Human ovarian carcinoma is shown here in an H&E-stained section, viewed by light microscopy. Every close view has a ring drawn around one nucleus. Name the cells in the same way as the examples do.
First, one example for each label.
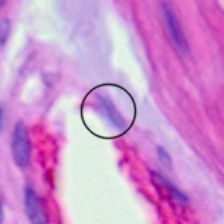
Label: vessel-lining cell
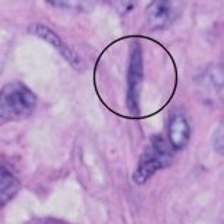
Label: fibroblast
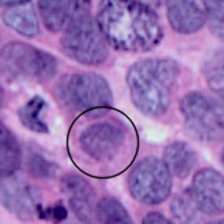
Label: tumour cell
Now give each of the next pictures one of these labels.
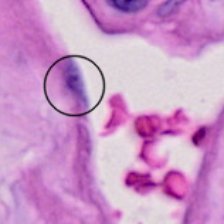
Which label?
vessel-lining cell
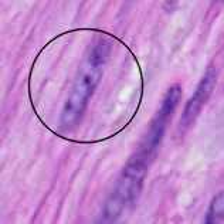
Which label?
fibroblast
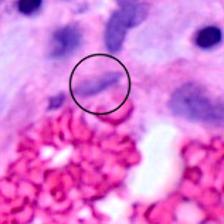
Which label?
vessel-lining cell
